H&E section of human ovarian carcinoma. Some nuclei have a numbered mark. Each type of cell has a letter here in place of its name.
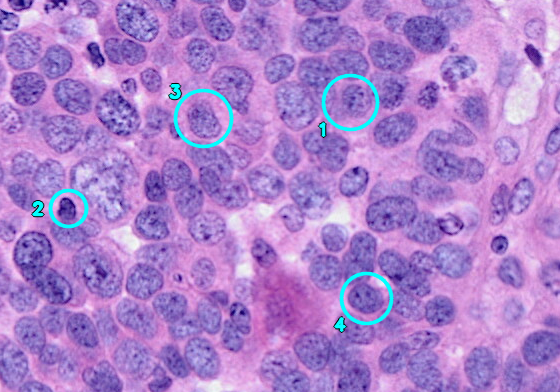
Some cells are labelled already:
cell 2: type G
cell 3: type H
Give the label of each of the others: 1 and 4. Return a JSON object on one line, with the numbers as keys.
{"1": "type H", "4": "type H"}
